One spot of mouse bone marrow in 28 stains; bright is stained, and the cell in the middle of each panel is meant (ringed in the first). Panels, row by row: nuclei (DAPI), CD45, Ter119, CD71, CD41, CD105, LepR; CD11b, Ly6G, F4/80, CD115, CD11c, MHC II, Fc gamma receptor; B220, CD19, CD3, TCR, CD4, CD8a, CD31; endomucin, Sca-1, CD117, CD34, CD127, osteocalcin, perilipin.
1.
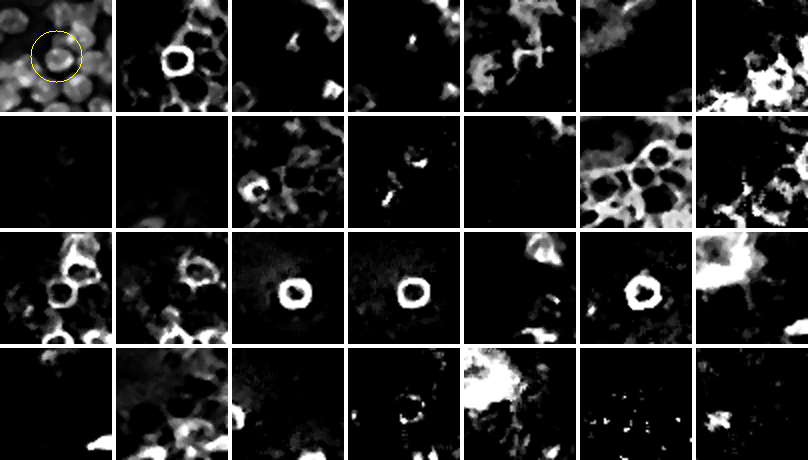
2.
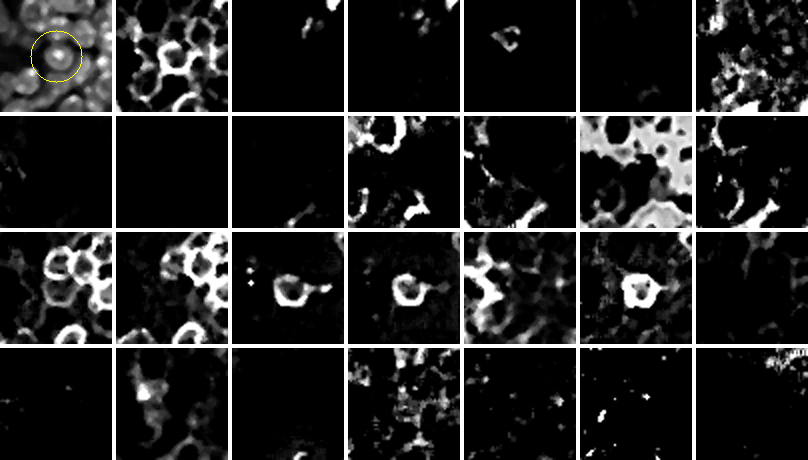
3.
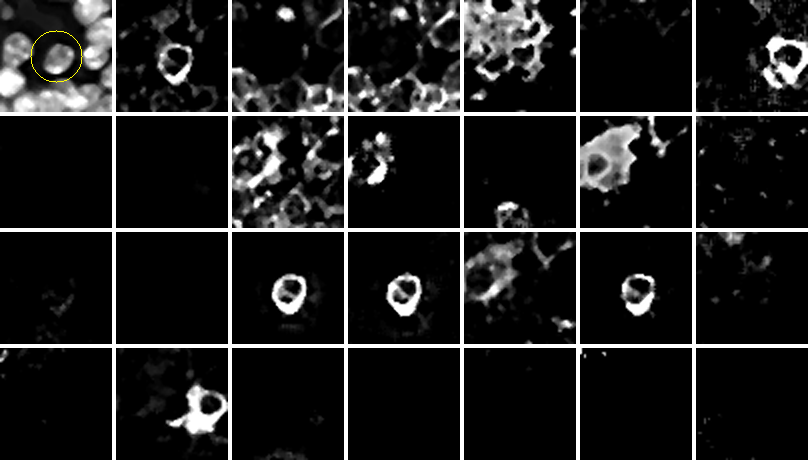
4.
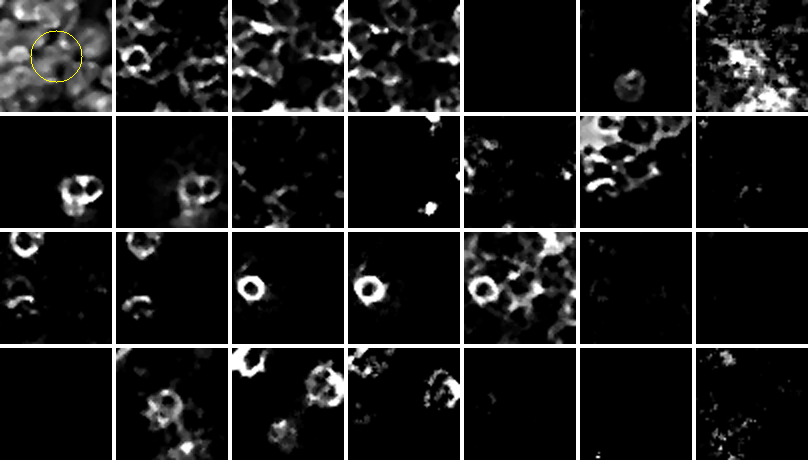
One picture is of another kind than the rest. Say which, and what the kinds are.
Picture 4 shows a LepR-positive perivascular cell; the rest show CD8 T cells.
